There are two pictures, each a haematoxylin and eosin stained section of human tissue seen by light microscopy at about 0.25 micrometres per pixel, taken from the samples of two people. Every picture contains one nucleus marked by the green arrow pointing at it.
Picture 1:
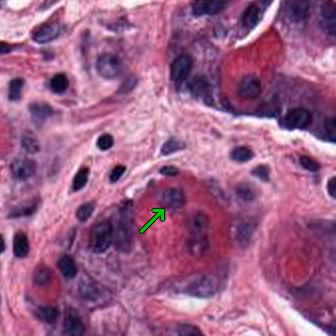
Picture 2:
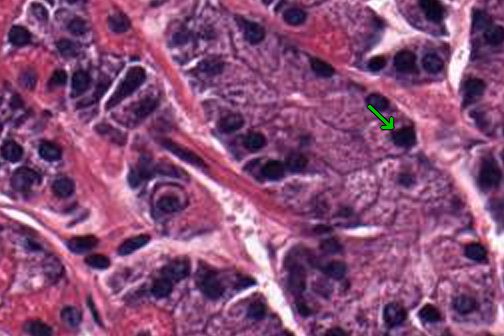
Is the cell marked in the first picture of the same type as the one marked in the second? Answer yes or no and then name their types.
No, the first is a parietal cell and the second a chief cell.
